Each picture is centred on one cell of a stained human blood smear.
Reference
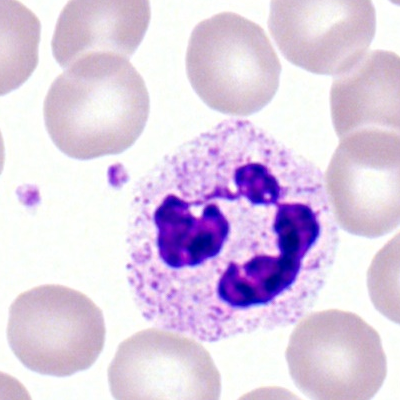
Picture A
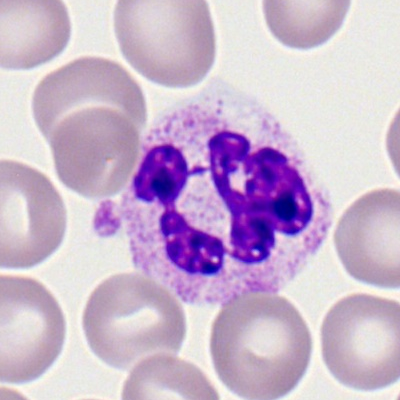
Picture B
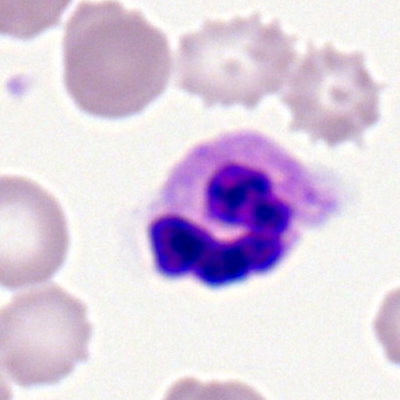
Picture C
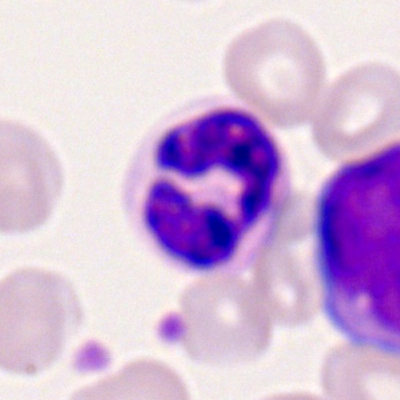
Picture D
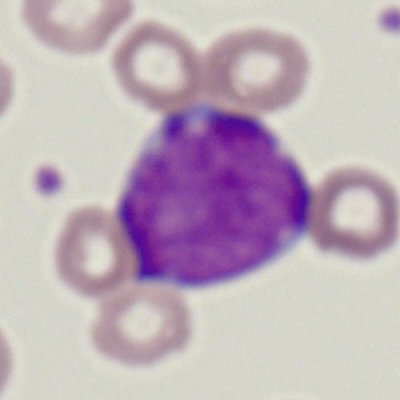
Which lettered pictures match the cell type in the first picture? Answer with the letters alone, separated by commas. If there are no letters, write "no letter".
A, B, C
